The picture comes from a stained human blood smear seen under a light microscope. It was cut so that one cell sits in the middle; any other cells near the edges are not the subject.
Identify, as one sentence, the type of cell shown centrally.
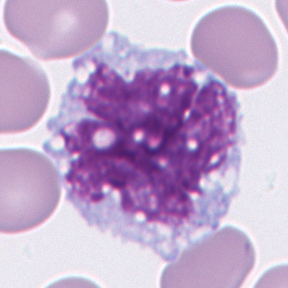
The cell around which this crop is centred is a monocyte.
